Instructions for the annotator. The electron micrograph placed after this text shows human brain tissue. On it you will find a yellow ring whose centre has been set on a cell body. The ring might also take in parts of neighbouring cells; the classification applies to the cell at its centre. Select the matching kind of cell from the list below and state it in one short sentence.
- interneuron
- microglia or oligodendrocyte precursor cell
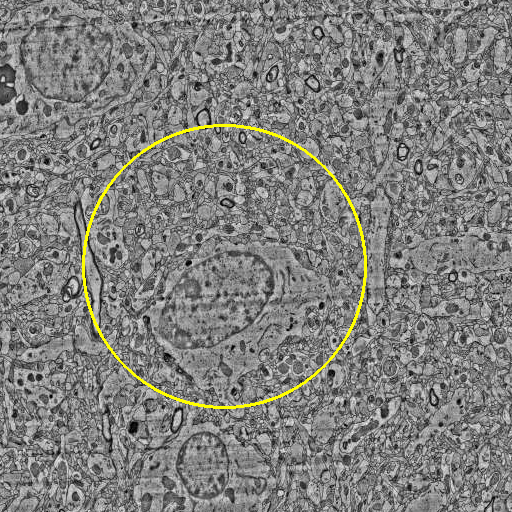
The ring is drawn on the cell body of a microglial cell or oligodendrocyte precursor cell.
